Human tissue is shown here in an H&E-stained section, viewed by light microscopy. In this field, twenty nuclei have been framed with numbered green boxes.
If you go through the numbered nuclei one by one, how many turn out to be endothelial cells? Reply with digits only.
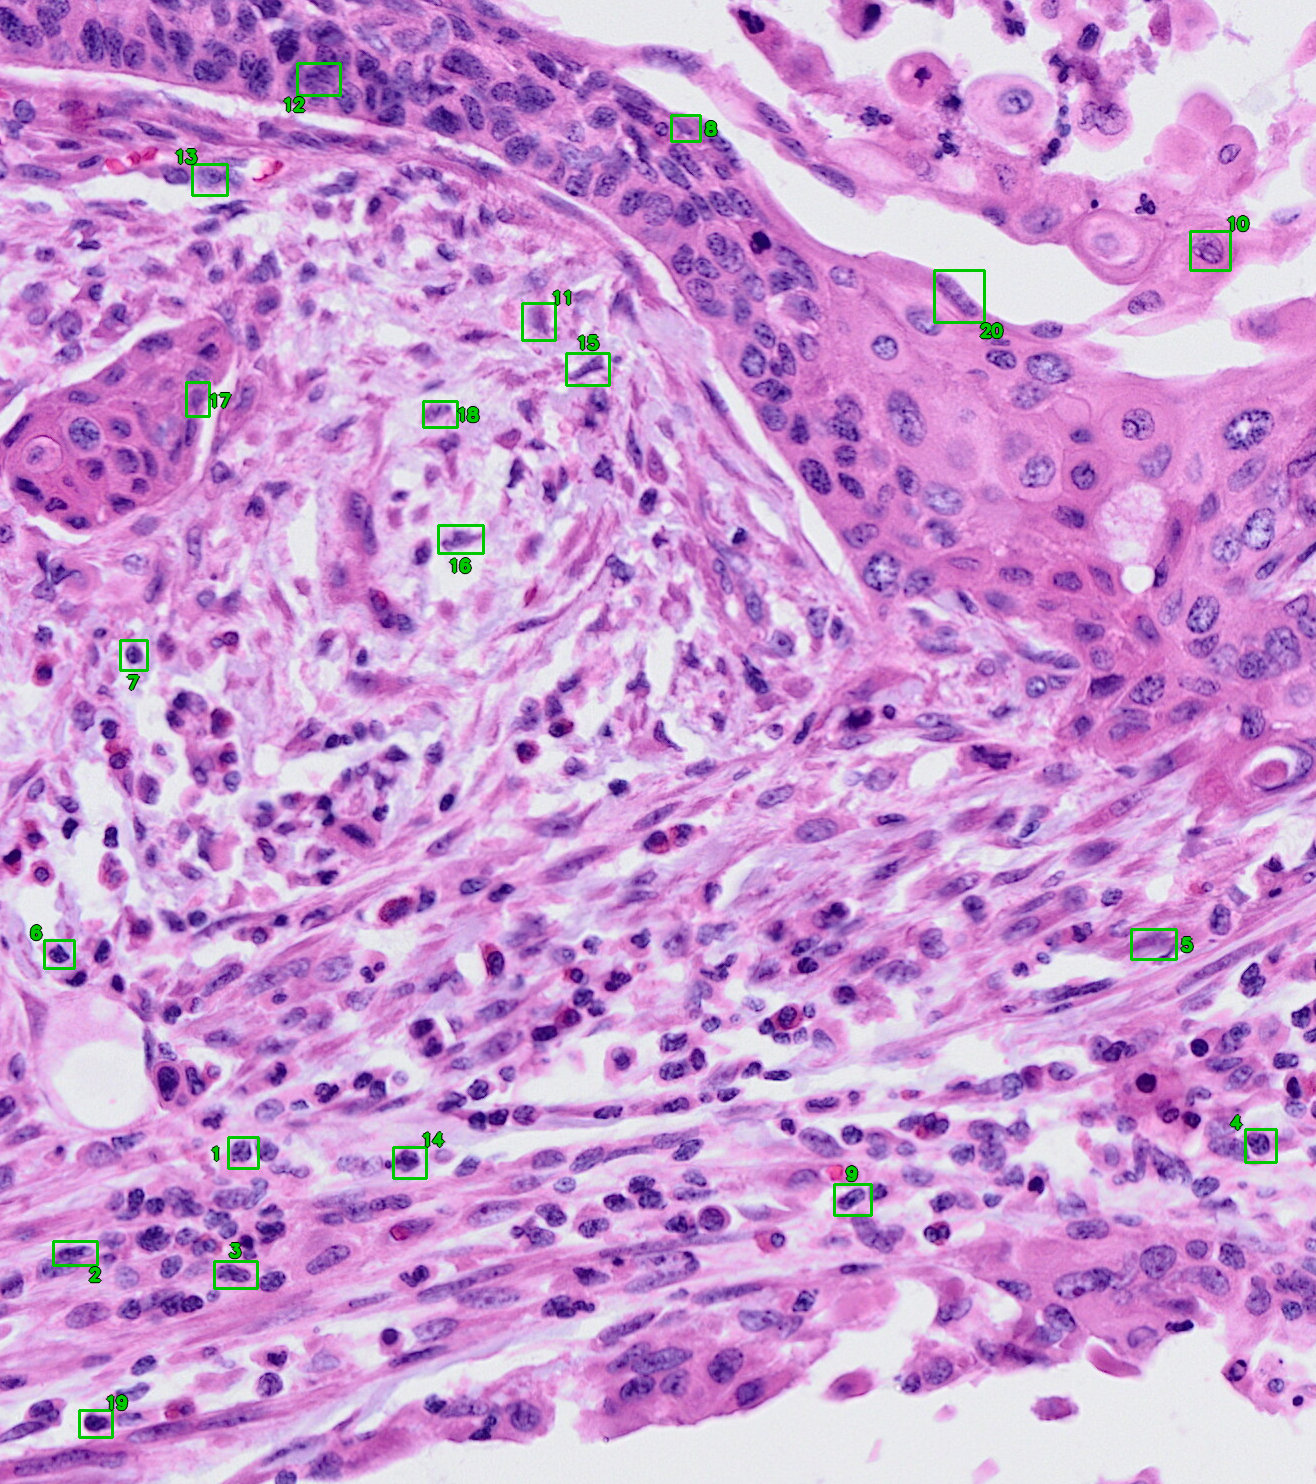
1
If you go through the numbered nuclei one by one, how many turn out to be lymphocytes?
9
